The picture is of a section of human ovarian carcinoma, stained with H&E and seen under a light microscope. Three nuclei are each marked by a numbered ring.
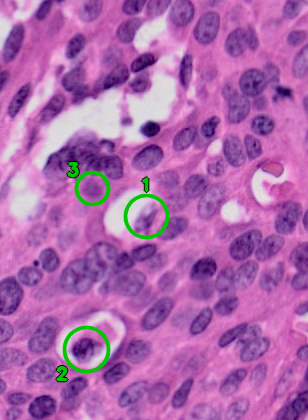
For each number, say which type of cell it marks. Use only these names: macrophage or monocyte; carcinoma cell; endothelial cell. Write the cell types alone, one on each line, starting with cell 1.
macrophage or monocyte
carcinoma cell
carcinoma cell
